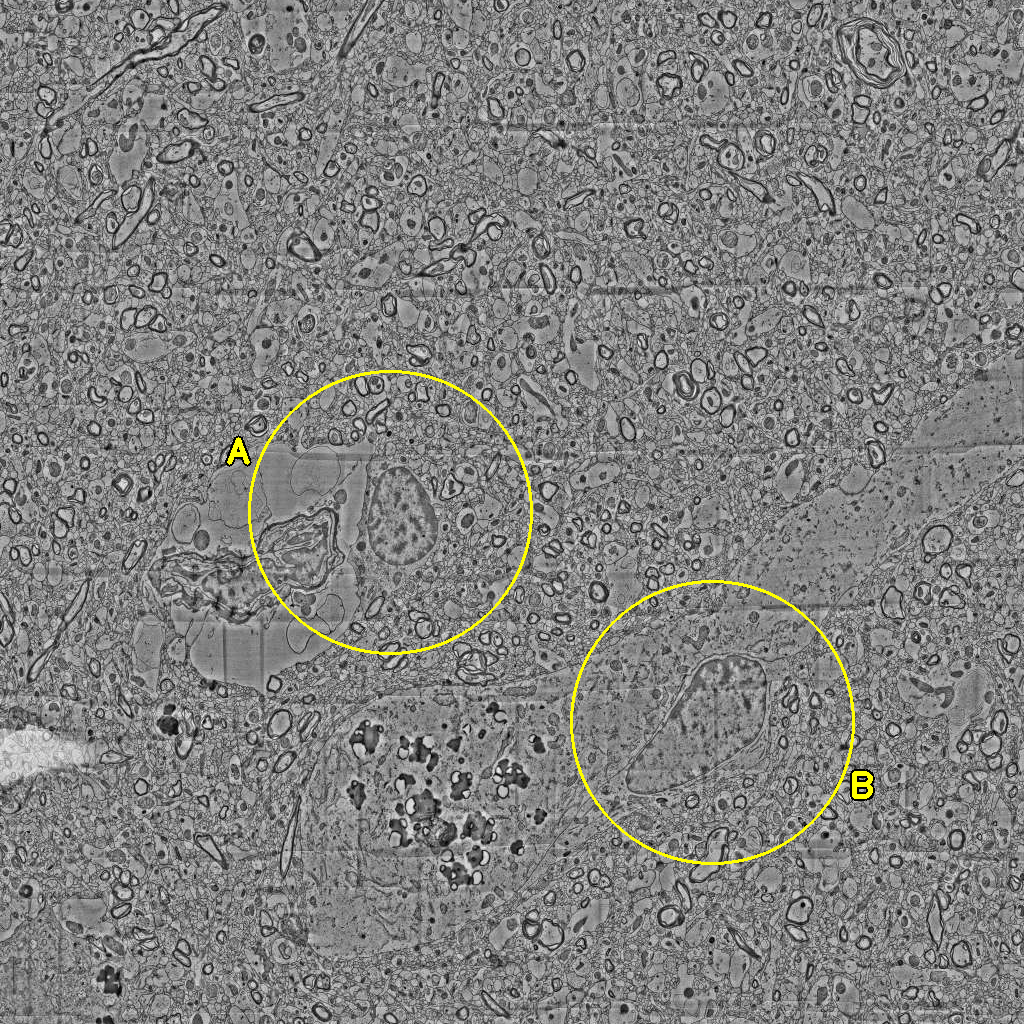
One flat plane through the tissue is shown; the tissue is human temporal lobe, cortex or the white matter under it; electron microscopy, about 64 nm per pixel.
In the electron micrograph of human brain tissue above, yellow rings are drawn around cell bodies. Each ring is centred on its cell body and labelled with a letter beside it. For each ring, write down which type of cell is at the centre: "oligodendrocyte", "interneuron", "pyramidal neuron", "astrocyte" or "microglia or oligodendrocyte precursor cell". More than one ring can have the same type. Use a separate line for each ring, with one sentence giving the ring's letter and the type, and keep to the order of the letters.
At the centre of ring A there is an oligodendrocyte.
At the centre of ring B there is a microglial cell or oligodendrocyte precursor cell.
